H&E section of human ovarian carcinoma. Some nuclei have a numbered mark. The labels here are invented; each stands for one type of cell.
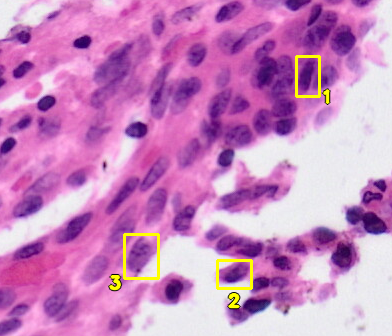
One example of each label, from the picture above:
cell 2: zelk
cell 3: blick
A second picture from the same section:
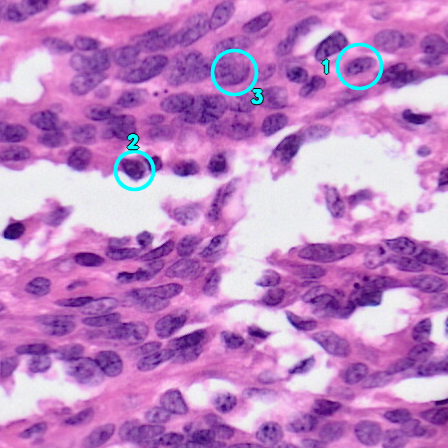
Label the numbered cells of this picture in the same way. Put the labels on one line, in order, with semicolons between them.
blick; zelk; zelk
